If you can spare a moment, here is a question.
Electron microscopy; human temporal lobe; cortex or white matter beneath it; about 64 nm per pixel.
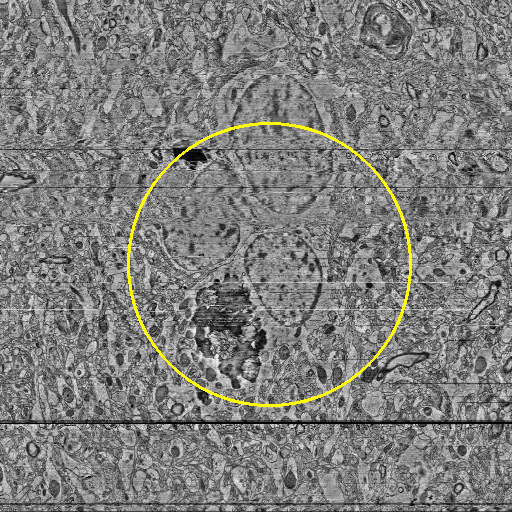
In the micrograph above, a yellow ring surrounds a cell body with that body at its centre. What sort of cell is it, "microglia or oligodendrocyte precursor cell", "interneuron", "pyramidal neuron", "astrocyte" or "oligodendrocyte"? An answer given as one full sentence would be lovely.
Centred inside the yellow ring, the cell body shown belongs to an astrocyte in this micrograph.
